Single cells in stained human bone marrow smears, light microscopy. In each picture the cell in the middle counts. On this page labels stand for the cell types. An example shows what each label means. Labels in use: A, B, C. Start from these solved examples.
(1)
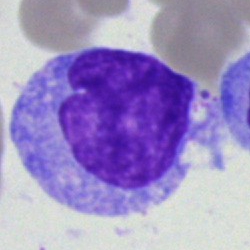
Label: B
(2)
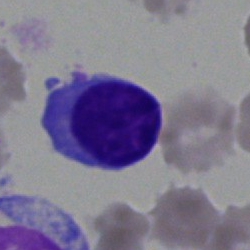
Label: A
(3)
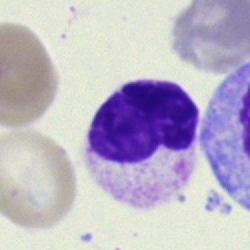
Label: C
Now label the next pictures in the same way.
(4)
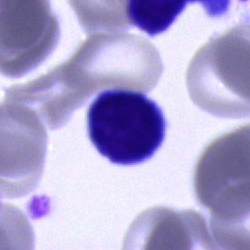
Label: A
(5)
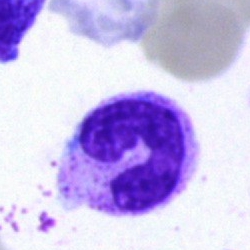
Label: C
